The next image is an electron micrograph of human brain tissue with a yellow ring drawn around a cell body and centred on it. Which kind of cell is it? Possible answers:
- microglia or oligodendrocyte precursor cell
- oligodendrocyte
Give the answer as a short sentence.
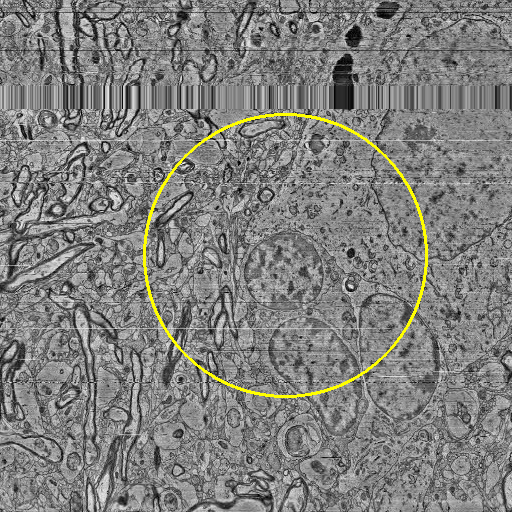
In the ring's centre is an oligodendrocyte.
